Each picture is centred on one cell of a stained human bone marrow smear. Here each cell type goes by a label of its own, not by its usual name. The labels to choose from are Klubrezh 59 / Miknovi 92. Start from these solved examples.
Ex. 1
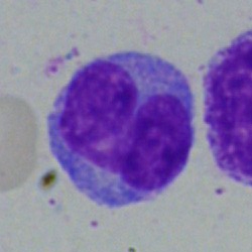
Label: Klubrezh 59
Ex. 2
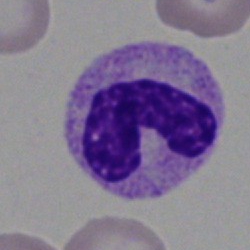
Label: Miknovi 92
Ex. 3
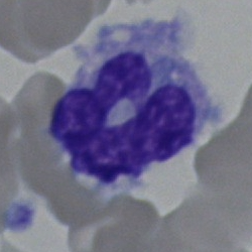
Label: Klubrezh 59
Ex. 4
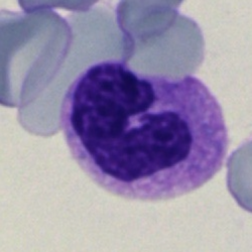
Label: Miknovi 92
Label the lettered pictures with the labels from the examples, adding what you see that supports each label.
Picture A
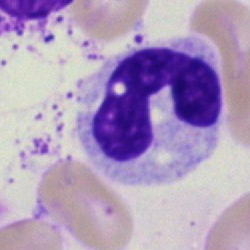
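Miknovi 92. Evidence: The cytoplasm is abundant and pale lilac-grey.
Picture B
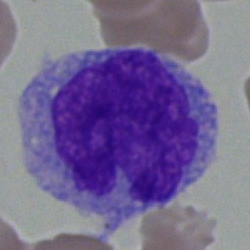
Klubrezh 59. Evidence: The nucleus fills most of the cell and leaves a rim of cytoplasm all around it.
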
